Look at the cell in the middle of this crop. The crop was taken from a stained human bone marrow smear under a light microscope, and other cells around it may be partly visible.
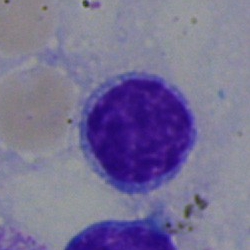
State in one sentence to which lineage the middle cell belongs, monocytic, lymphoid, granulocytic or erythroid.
As for the middle cell, it is a member of the lymphoid lineage.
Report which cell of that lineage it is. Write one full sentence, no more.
At the center of the crop sits a lymphocyte.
